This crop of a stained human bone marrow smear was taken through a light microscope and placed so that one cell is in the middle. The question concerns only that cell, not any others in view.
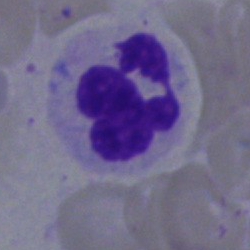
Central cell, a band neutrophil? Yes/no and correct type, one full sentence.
No, the cell centered in the crop is a segmented neutrophil, not a band neutrophil.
